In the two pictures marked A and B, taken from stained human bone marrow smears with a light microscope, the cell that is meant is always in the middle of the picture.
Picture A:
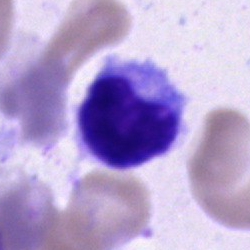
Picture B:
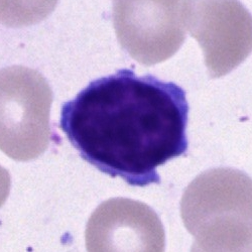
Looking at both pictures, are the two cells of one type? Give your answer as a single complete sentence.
Yes, they are the same type: both are lymphocytes.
